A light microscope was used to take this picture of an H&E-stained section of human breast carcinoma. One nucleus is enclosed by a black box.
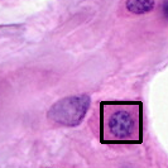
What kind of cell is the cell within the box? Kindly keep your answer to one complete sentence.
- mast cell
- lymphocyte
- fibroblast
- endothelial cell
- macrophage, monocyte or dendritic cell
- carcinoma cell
Within the stained tissue, the cell within the box is a mast cell.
